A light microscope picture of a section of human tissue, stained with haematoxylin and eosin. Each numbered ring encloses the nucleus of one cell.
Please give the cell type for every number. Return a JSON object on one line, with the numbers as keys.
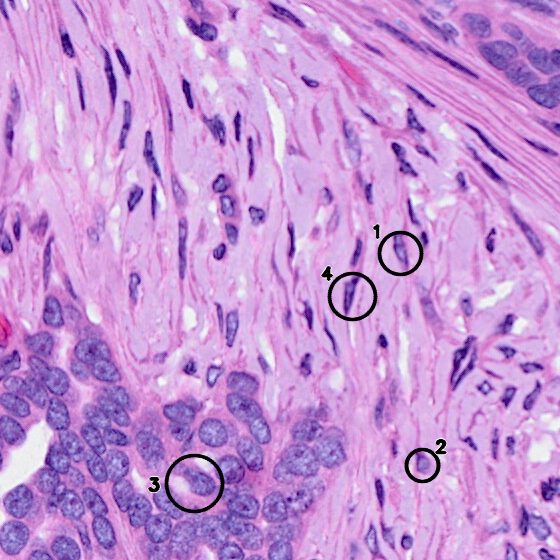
{"1": "fibroblast", "2": "fibroblast", "3": "carcinoma cell", "4": "fibroblast"}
